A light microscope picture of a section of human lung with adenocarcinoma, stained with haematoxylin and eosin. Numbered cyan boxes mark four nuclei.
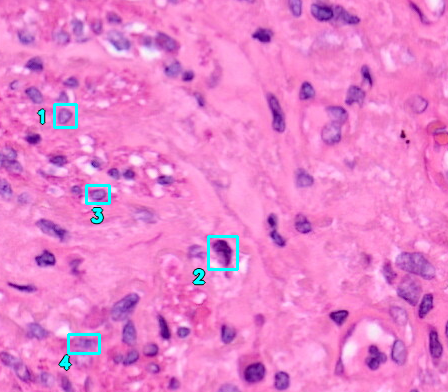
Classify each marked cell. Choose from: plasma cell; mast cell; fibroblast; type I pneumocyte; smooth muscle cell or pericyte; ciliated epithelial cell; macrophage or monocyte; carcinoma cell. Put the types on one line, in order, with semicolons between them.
smooth muscle cell or pericyte; plasma cell; smooth muscle cell or pericyte; smooth muscle cell or pericyte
